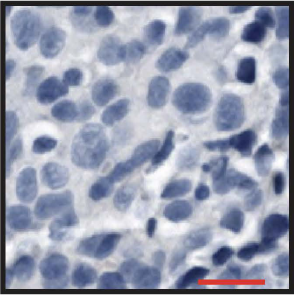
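Tumor tissue of densely packed cells with round to oval blue nuclei and scant pale cytoplasm. Many nuclei show fine chromatin, and some show small nucleoli. No brown stain is seen in any nucleus or cytoplasm.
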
